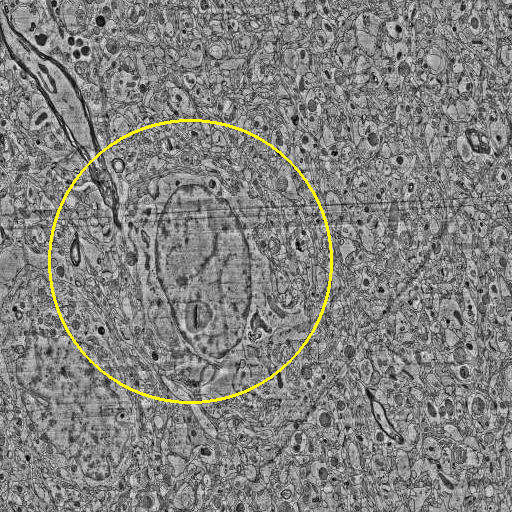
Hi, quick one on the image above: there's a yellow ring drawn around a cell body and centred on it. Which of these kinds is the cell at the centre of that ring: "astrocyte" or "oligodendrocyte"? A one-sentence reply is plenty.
The cell at the centre of the ring is an astrocyte.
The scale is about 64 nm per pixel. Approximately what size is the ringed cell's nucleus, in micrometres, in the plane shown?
Roughly 11 micrometres by 6 micrometres, so the nucleus is clearly longer than it is wide in this plane.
